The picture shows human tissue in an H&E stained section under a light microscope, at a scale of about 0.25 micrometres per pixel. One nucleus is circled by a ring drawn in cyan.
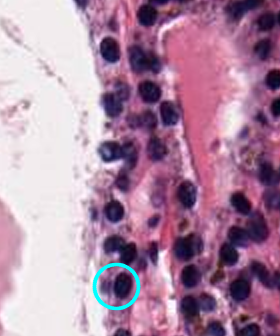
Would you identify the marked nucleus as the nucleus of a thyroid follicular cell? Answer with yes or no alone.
yes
